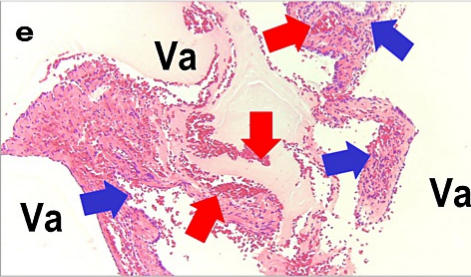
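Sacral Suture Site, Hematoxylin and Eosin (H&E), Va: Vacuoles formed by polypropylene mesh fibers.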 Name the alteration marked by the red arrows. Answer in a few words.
Hemorrhage.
